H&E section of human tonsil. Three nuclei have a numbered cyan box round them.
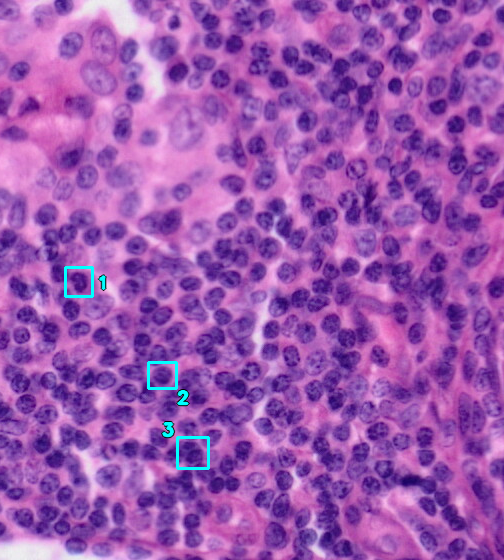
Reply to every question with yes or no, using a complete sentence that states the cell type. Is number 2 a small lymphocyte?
Yes, the cell whose number is 2 is a small lymphocyte.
